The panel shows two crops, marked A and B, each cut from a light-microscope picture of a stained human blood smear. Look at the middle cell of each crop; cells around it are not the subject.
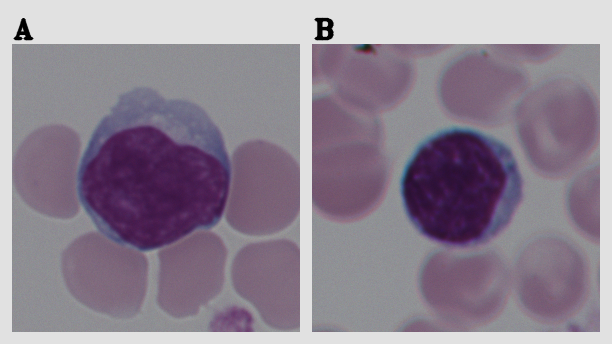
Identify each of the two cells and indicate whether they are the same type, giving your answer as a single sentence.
Yes, with regard to both crops, the central cells are typical lymphocytes.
